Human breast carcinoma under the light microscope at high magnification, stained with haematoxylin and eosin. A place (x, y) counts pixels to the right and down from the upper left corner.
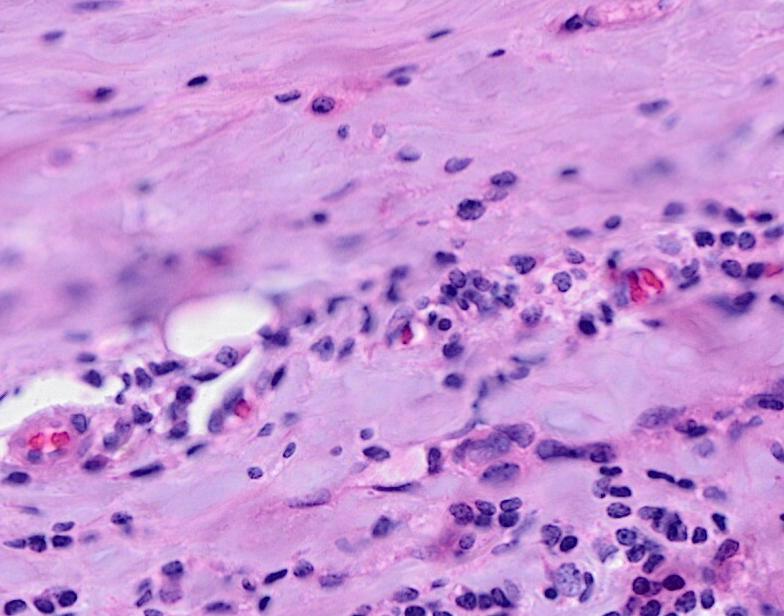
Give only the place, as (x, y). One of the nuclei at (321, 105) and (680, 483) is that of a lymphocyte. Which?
(680, 483)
